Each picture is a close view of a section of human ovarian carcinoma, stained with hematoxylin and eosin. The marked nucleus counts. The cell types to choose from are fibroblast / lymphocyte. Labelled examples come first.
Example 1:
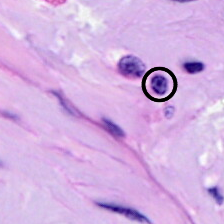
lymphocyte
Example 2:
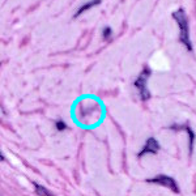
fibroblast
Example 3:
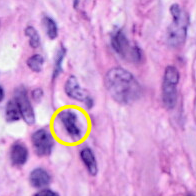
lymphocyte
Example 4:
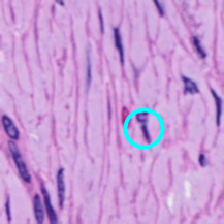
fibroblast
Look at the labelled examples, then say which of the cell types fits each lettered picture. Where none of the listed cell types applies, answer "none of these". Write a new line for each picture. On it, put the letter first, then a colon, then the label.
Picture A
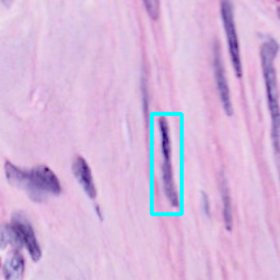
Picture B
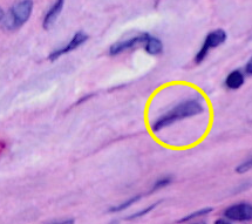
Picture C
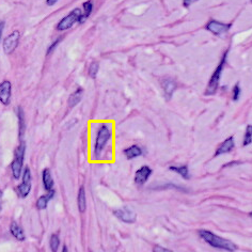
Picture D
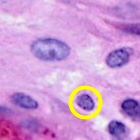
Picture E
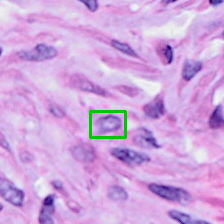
A: none of these
B: fibroblast
C: fibroblast
D: lymphocyte
E: fibroblast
